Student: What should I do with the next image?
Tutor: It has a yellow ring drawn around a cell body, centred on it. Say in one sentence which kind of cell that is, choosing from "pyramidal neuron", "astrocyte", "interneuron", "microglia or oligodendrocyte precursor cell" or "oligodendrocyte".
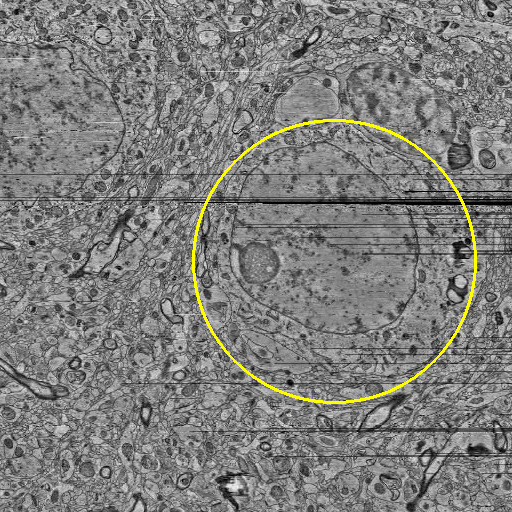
The ring's centre is occupied by a pyramidal neuron.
